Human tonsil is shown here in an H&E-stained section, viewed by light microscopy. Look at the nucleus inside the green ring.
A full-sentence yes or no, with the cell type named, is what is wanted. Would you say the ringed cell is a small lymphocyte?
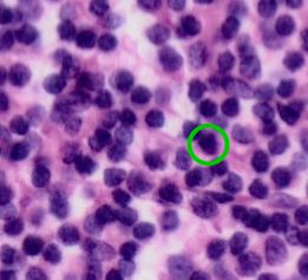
Yes, regarding cell type, the ringed cell is a small lymphocyte.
